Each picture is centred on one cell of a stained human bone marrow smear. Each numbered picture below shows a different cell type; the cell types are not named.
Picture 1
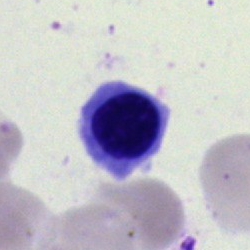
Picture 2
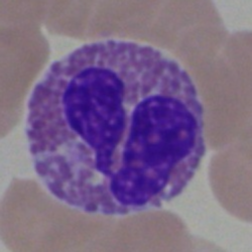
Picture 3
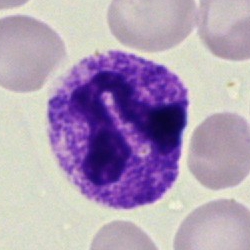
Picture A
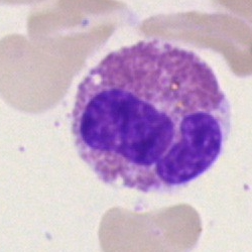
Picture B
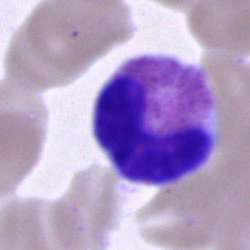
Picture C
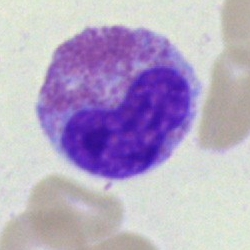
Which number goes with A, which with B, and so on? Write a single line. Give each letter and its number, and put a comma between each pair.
A 2, B 2, C 2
